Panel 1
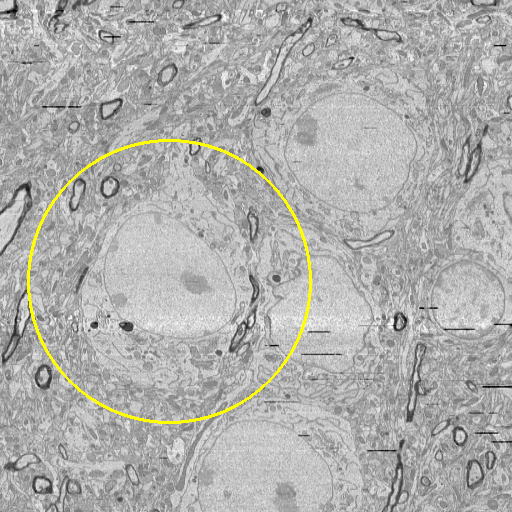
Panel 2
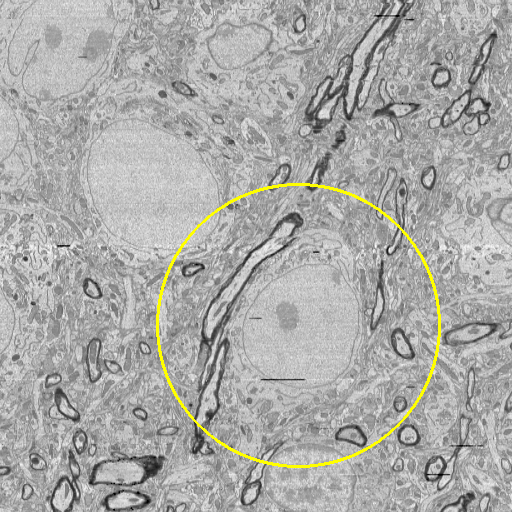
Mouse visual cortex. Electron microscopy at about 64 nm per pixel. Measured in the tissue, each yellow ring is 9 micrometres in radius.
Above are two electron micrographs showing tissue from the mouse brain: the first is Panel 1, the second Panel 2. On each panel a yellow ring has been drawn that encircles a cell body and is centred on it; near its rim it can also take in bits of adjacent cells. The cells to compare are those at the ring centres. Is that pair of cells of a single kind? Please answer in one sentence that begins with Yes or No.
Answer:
Yes, the ring-centred cells of Panel 1 and Panel 2 belong to one kind.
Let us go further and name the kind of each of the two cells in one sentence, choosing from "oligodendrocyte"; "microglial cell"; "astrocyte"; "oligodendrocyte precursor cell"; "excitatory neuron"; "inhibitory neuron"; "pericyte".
Both cells are the same kind, each one being an excitatory neuron.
